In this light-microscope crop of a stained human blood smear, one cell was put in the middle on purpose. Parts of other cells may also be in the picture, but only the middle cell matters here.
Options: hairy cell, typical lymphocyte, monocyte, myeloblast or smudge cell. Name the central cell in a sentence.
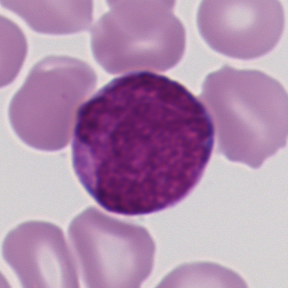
This crop's central cell is a myeloblast.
